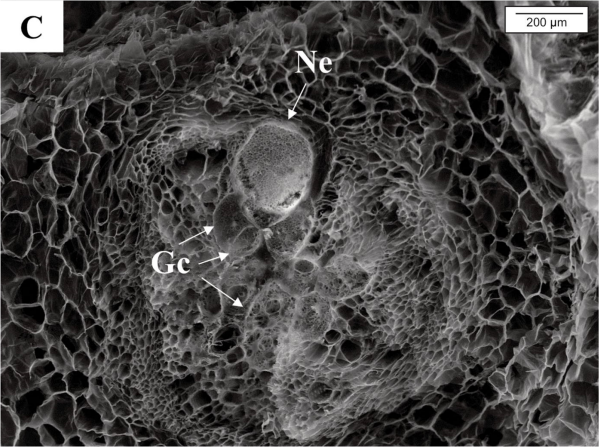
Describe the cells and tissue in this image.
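This cross-section of plant tissue shows a feeding site with several enlarged giant cells beside a large rounded nematode body. The surrounding tissue is a honeycomb of thin-walled polygonal parenchyma cells. The cells are larger toward the periphery and smaller and more densely packed toward the centre. The nematode appears as a big oval profile with a finely textured cut surface. It is bordered by a few swollen, rounded cells that are much larger than their neighbours. These enlarged cells sit in the central region, where the small cells around them are disorganised compared with the regular outer tissue.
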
